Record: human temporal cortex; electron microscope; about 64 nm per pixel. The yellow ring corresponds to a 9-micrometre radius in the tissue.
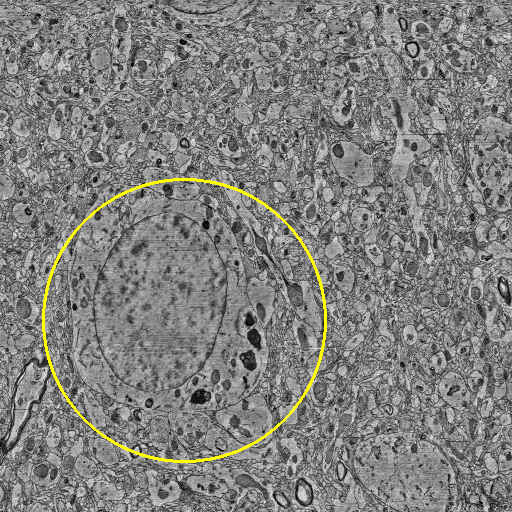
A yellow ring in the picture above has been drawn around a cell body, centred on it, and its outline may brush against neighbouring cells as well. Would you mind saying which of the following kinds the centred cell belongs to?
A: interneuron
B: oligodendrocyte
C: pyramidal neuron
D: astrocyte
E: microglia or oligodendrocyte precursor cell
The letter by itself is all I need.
C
